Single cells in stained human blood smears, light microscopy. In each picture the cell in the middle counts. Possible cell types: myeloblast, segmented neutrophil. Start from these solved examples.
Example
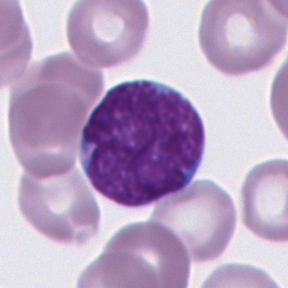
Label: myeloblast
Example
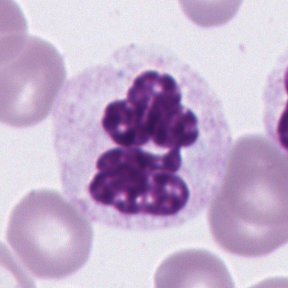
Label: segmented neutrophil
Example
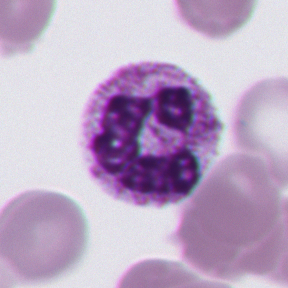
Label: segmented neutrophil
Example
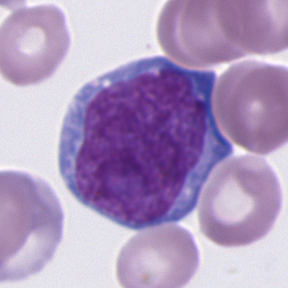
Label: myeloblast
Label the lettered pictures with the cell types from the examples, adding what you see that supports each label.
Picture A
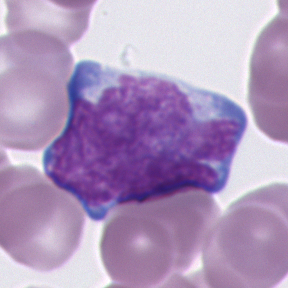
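myeloblast: The nucleus is irregular in shape and fills most of the cell.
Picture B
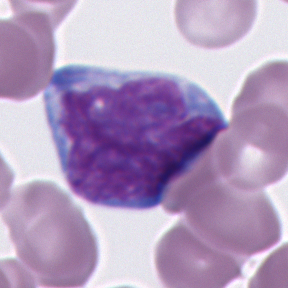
myeloblast: The cytoplasm forms a narrow rim that is widest at the upper left.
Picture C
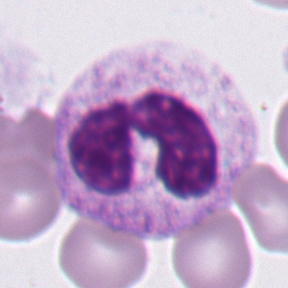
segmented neutrophil: The cytoplasm is plentiful and pale pink-lilac.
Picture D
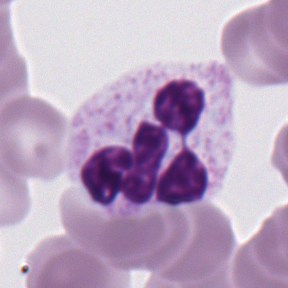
segmented neutrophil: The nucleus is divided into several separate lobes.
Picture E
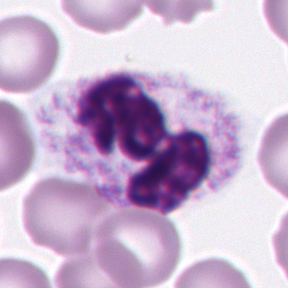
segmented neutrophil: The nucleus is divided into curved lobes running diagonally from upper left to lower right.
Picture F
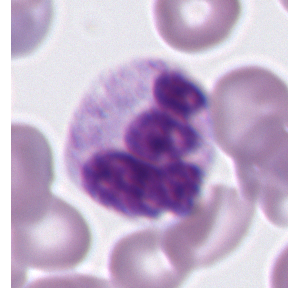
segmented neutrophil: The nucleus is divided into several separate lobes.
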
